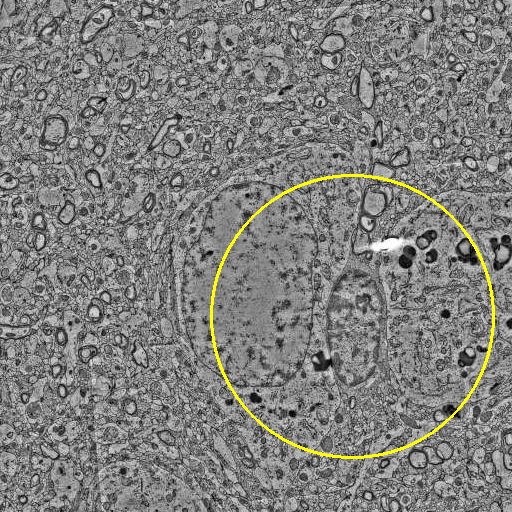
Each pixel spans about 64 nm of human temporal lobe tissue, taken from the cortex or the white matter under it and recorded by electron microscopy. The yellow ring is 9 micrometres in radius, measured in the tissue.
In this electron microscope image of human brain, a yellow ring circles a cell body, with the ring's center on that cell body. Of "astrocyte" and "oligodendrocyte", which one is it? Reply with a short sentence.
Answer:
It is an oligodendrocyte at the center of the ring.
